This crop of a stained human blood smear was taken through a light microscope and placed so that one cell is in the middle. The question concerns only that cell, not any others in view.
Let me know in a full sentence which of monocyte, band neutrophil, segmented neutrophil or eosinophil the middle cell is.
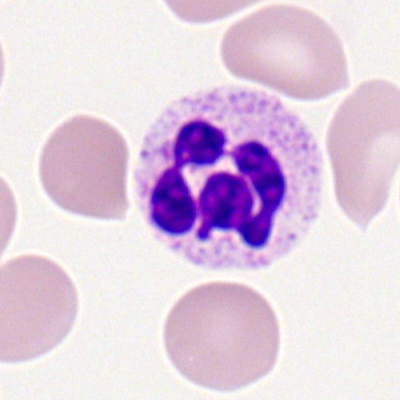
To answer, the cell in the center of the crop is a segmented neutrophil.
